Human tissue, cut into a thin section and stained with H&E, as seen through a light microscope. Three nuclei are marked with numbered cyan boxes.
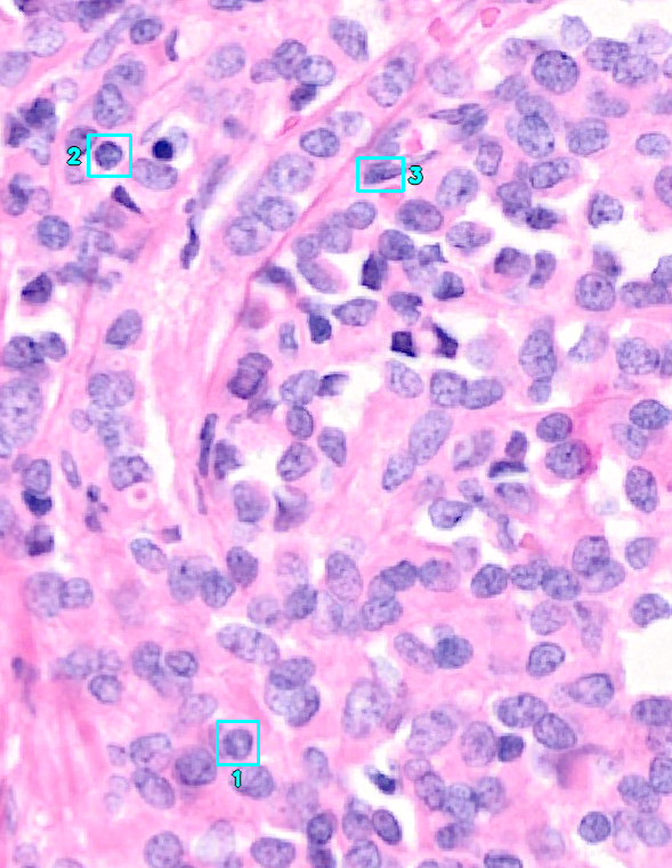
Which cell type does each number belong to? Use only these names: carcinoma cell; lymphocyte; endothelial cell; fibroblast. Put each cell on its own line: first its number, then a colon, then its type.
1: carcinoma cell
2: lymphocyte
3: endothelial cell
